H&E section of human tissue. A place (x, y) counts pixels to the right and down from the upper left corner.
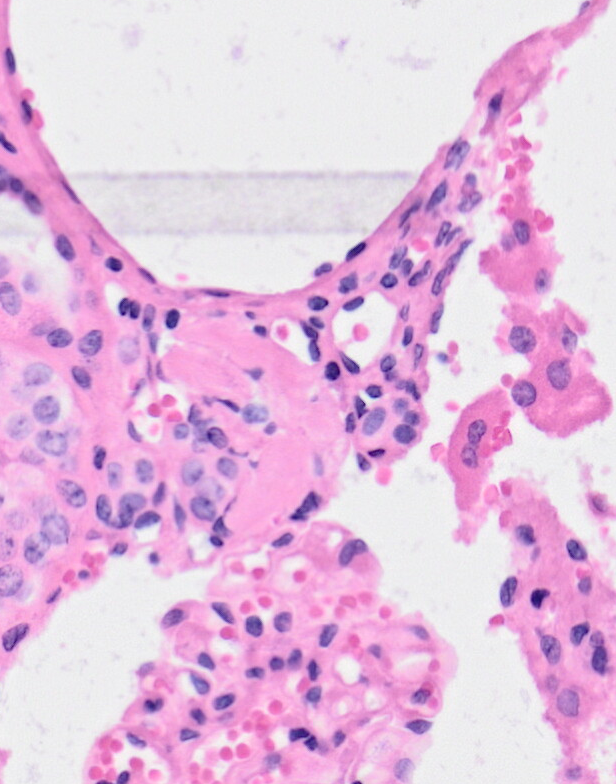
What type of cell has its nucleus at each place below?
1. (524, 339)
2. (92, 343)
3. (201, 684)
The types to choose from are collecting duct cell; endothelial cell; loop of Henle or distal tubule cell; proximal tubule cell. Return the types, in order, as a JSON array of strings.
["proximal tubule cell", "collecting duct cell", "endothelial cell"]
